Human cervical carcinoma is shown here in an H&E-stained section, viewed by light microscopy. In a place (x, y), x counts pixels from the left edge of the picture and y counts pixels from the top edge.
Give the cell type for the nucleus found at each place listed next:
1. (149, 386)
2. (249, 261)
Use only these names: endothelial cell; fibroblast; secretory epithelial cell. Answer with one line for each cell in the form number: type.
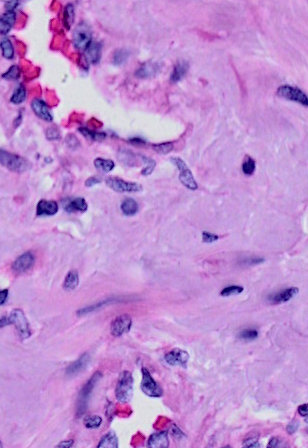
1: endothelial cell
2: fibroblast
